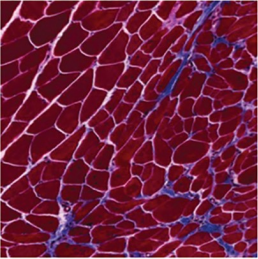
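This is a cross-section of skeletal muscle in which red, polygonal muscle fibers of varying size are packed together, separated by thin pale borders. Between groups of fibers, blue-stained fibrous connective tissue fills widened interstitial spaces, marking fibrosis among the muscle fibers.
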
